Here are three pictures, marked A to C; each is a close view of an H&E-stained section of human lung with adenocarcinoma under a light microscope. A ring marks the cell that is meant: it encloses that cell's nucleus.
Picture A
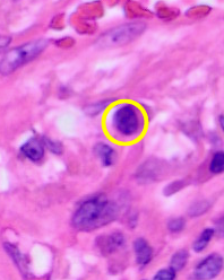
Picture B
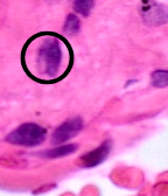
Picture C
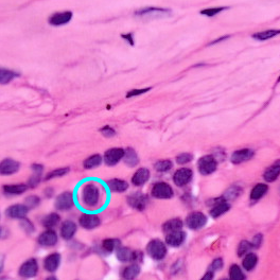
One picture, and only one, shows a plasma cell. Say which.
A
